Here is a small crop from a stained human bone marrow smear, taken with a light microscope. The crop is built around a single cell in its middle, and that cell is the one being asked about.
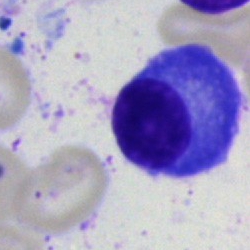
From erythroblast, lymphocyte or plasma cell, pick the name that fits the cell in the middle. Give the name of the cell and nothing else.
plasma cell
